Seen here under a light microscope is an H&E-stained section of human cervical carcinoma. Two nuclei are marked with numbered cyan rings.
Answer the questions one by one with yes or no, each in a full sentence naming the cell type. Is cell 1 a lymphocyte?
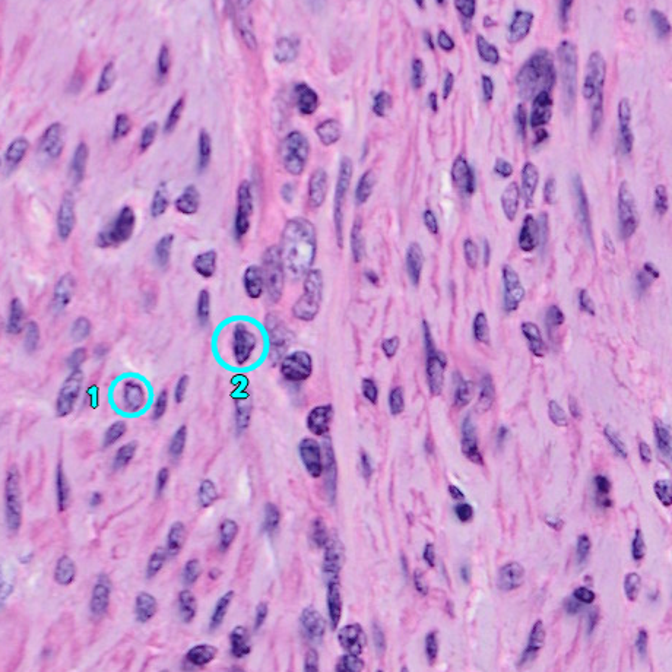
No, the cell labelled 1 is a smooth muscle cell and not a lymphocyte.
